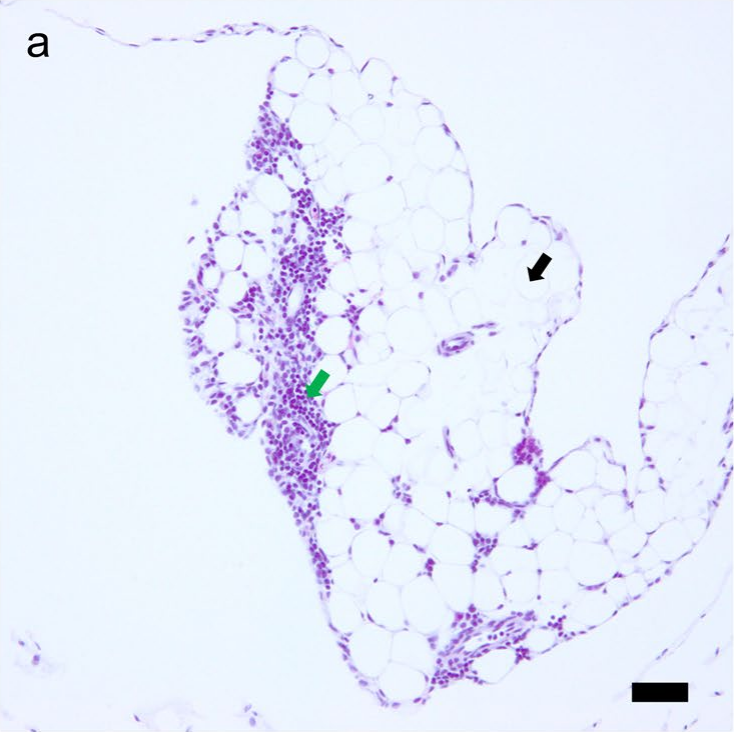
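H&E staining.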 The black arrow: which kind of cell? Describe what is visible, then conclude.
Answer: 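Large round empty-looking cells packed together. Thin pink rims with flattened nuclei at the edge.
Hence: adipocytes.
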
